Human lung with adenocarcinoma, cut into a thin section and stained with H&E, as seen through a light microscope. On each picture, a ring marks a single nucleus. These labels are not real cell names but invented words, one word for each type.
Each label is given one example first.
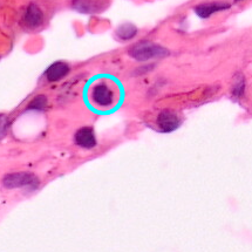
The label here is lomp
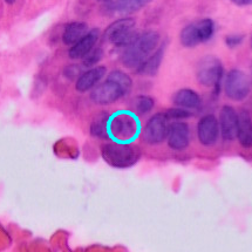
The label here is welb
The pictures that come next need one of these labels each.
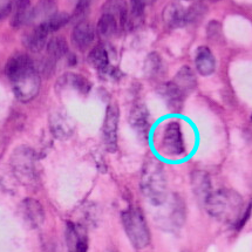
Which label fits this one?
welb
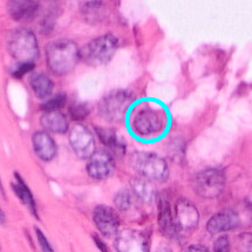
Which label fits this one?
welb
